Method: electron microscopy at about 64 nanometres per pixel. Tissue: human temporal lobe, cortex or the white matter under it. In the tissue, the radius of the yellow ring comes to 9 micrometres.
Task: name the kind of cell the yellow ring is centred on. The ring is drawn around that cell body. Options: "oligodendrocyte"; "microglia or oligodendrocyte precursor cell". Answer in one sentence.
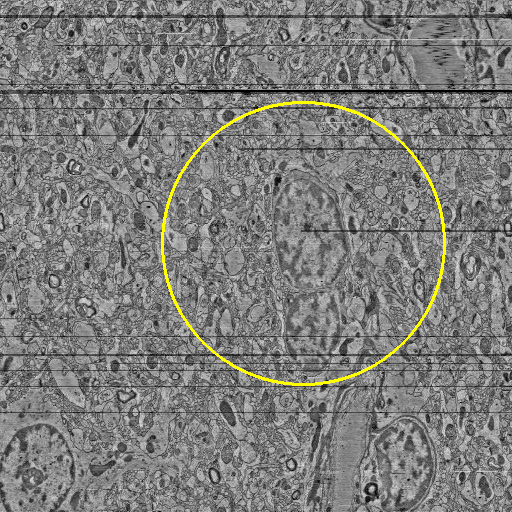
This cell body belongs to an oligodendrocyte.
